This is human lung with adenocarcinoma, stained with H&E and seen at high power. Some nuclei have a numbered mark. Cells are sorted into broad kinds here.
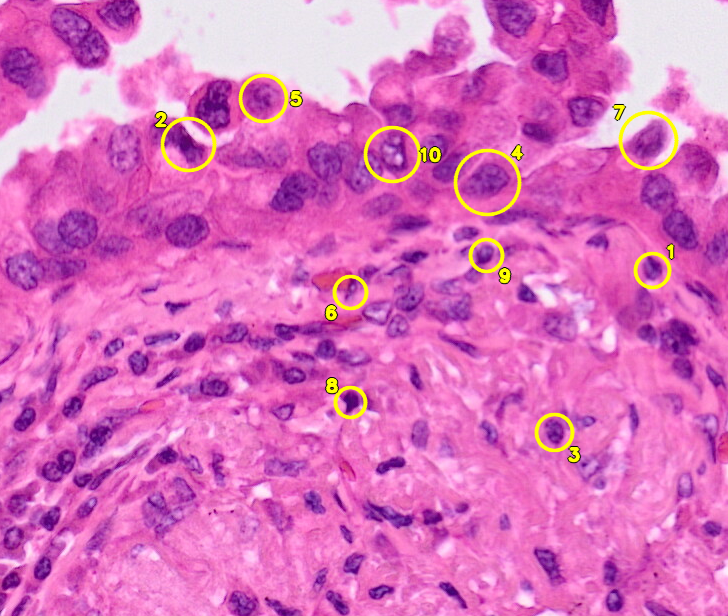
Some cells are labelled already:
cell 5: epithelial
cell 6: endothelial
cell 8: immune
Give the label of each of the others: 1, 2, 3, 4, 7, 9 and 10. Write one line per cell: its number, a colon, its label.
1: immune
2: epithelial
3: immune
4: epithelial
7: epithelial
9: immune
10: epithelial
